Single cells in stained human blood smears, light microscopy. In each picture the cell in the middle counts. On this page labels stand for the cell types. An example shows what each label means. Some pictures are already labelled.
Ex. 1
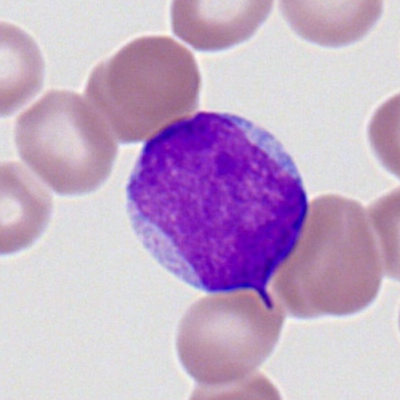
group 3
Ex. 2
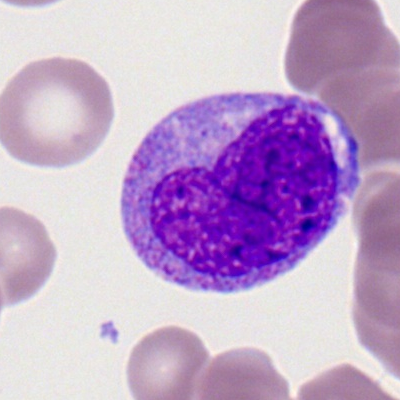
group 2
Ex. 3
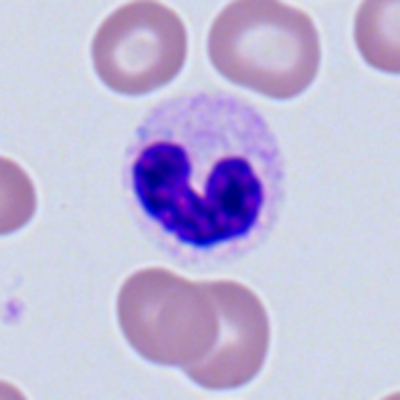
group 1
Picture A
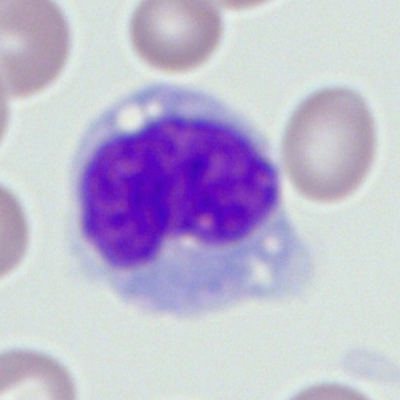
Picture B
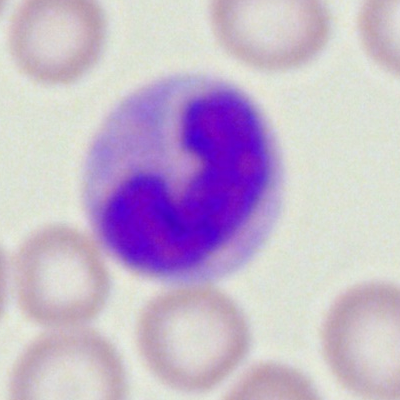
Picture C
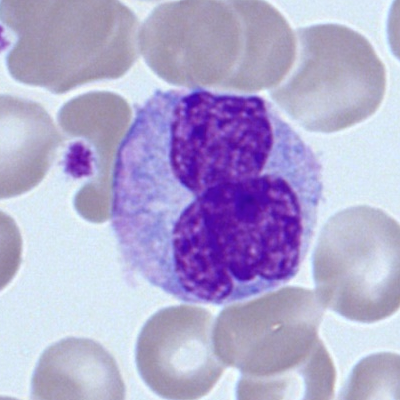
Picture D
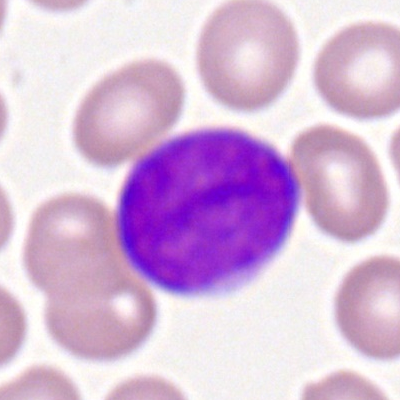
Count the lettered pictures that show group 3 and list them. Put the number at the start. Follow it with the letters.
Count: 1 (D)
